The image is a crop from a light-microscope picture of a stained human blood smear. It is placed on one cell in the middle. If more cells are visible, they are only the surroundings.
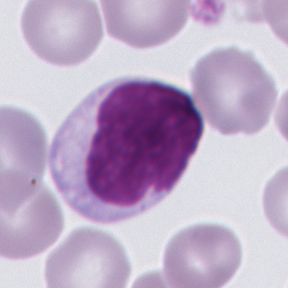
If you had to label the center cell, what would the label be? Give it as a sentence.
In short, the cell at the center is a large granular lymphocyte.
